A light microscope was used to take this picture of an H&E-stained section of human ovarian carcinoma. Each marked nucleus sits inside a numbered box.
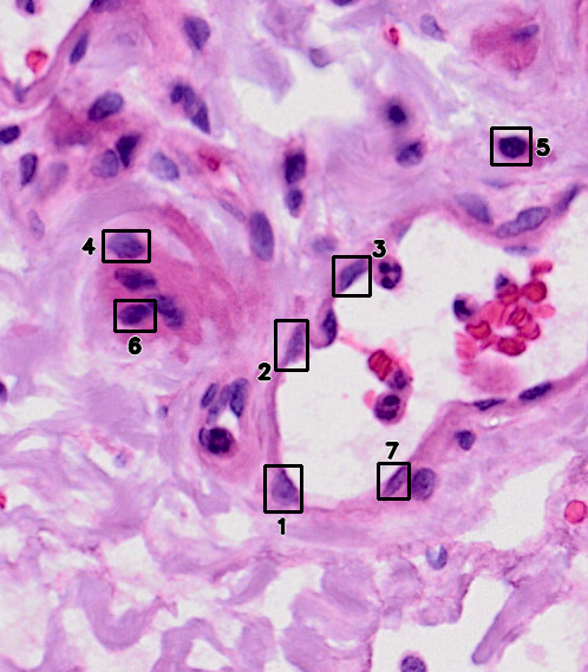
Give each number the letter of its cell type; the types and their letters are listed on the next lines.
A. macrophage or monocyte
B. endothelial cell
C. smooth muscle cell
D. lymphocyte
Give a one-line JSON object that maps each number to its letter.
{"1": "B", "2": "B", "3": "B", "4": "C", "5": "D", "6": "C", "7": "B"}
